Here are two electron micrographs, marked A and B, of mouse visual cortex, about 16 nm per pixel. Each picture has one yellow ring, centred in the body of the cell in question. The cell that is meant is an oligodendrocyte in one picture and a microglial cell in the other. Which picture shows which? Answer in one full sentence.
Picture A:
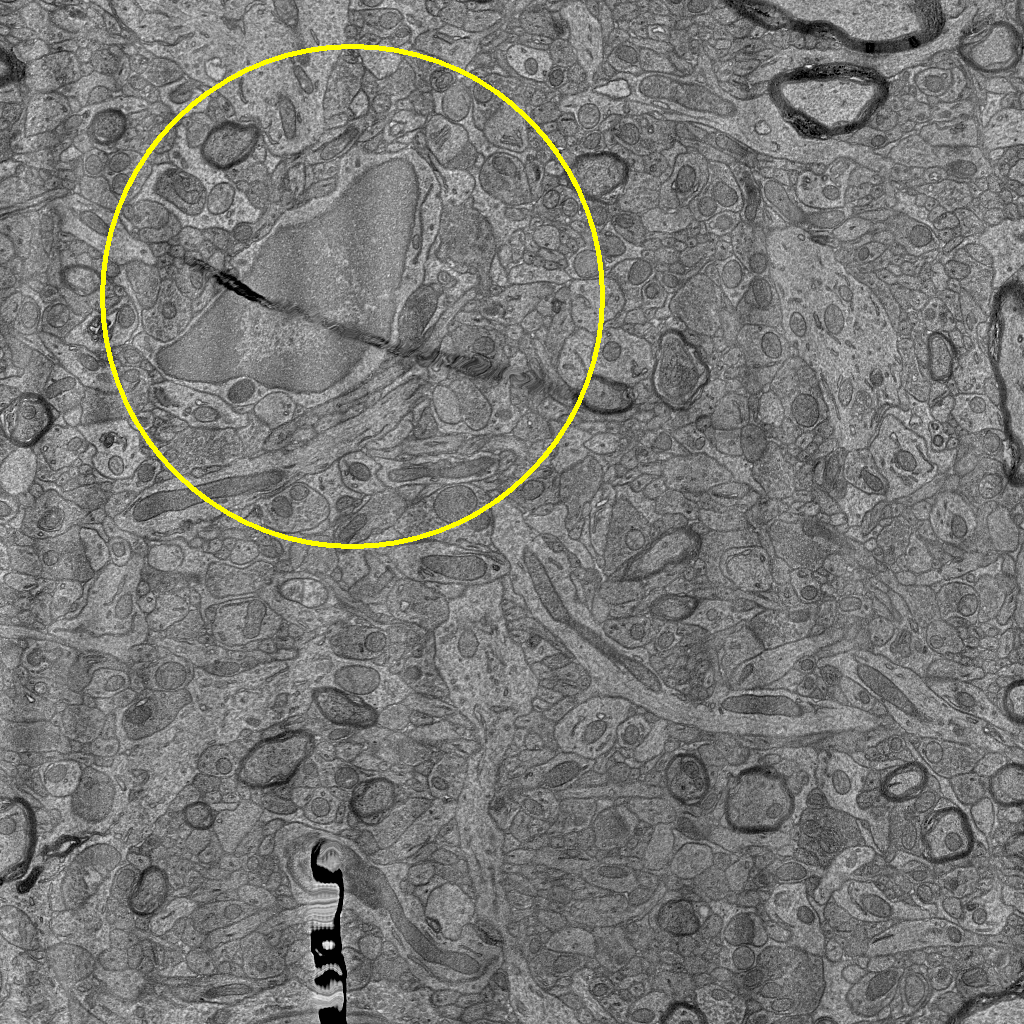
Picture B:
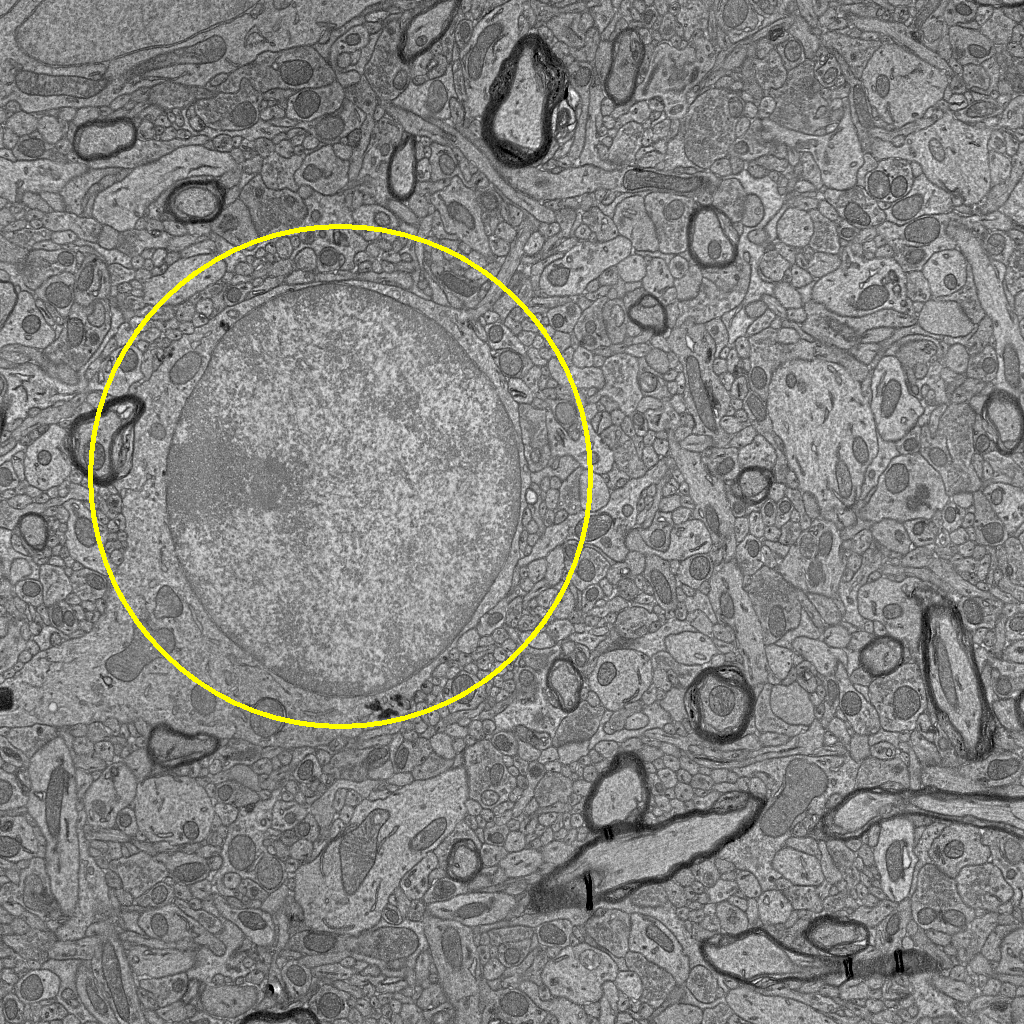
Picture B shows an oligodendrocyte, while picture A shows a microglial cell.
